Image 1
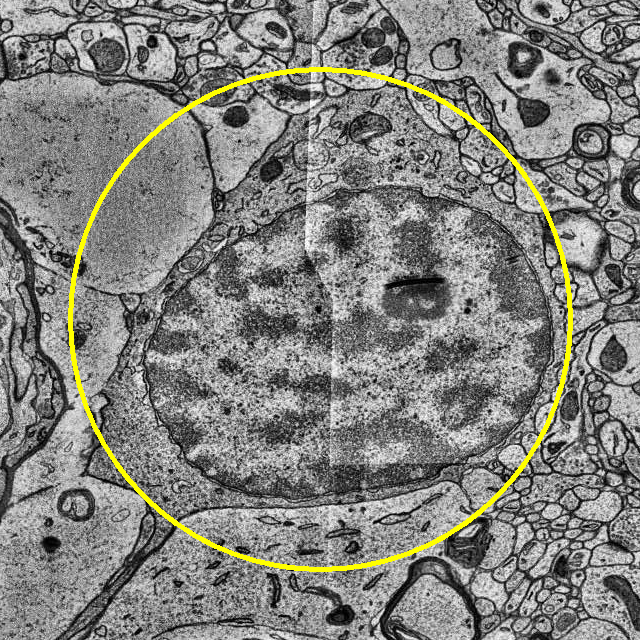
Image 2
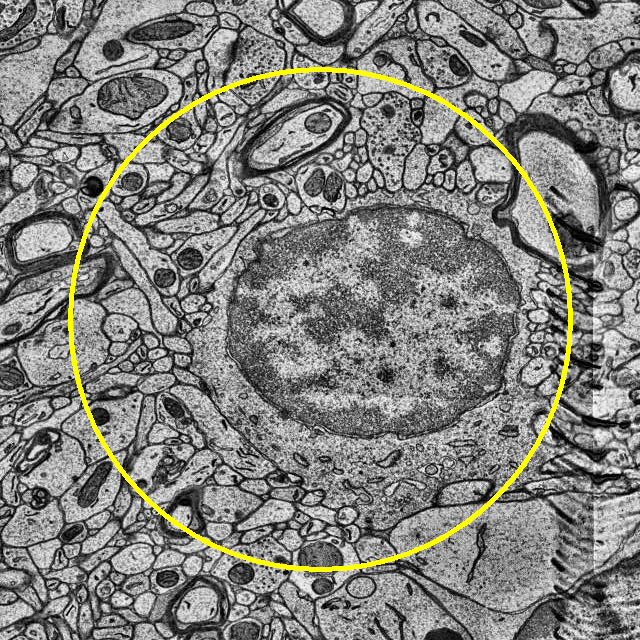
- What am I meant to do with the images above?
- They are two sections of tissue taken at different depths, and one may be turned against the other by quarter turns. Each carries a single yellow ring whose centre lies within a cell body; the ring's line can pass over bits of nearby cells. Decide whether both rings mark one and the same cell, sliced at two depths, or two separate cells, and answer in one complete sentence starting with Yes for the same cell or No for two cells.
No, the cells inside the two rings are not the same cell.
